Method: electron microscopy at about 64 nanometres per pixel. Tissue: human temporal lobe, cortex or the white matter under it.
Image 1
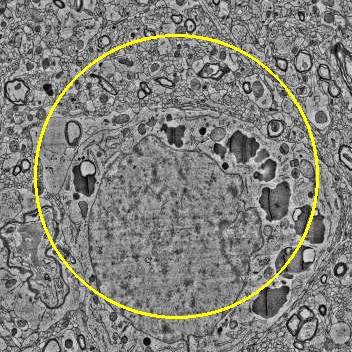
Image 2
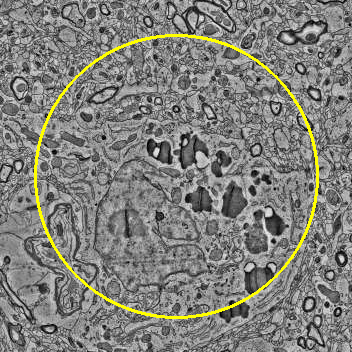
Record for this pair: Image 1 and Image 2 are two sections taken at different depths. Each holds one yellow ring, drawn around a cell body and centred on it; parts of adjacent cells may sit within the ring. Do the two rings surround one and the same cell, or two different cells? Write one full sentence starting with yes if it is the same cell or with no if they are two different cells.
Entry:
Yes, the two rings encircle a single cell, not a pair.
